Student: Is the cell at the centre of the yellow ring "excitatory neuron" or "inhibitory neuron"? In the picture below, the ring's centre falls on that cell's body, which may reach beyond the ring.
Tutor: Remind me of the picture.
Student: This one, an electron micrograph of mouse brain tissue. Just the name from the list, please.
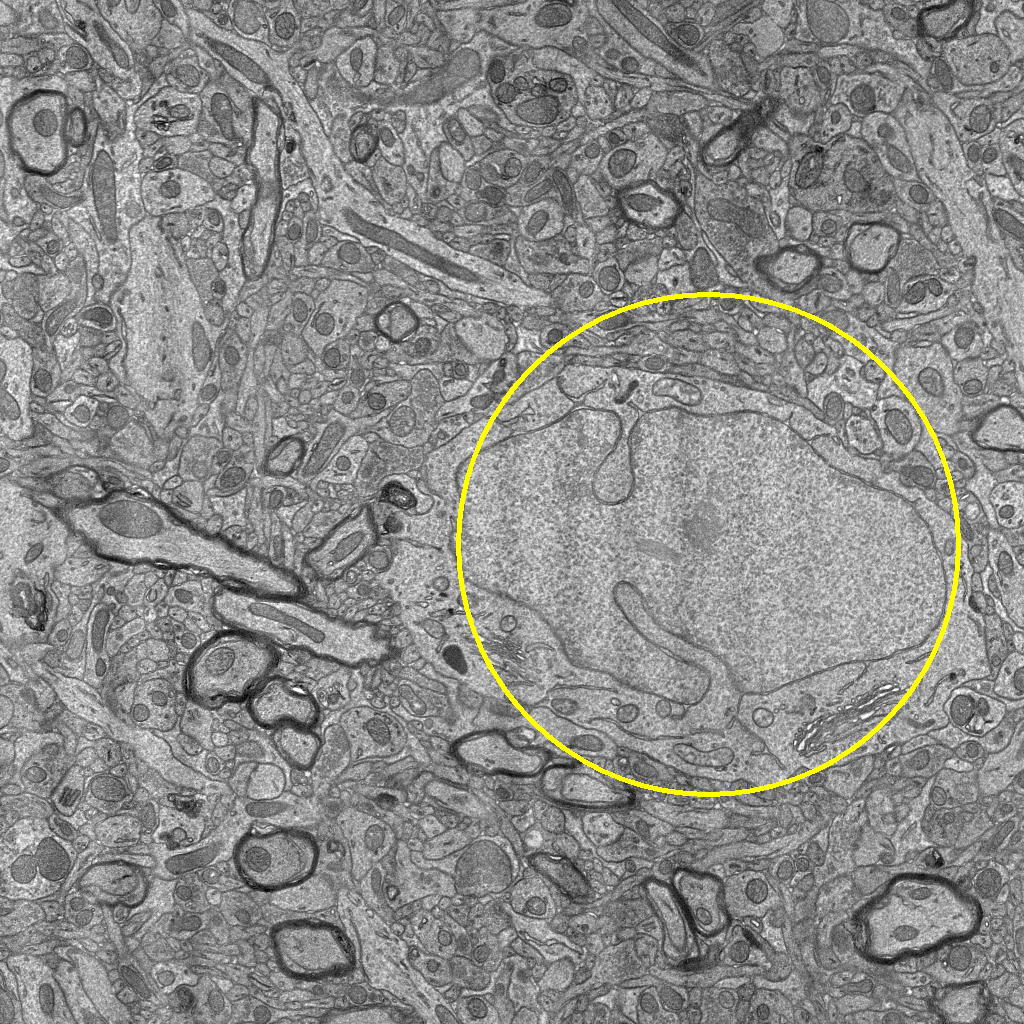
inhibitory neuron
